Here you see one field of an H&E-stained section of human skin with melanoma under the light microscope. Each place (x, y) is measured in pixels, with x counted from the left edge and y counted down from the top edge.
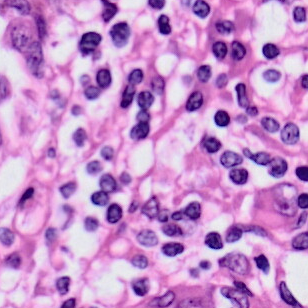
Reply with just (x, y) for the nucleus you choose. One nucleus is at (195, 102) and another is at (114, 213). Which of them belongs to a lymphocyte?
(114, 213)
